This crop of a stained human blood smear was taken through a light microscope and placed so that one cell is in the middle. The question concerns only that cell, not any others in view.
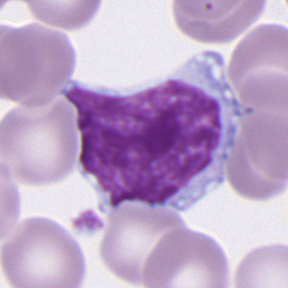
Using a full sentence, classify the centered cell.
The middle of this crop is occupied by a lymphocyte.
